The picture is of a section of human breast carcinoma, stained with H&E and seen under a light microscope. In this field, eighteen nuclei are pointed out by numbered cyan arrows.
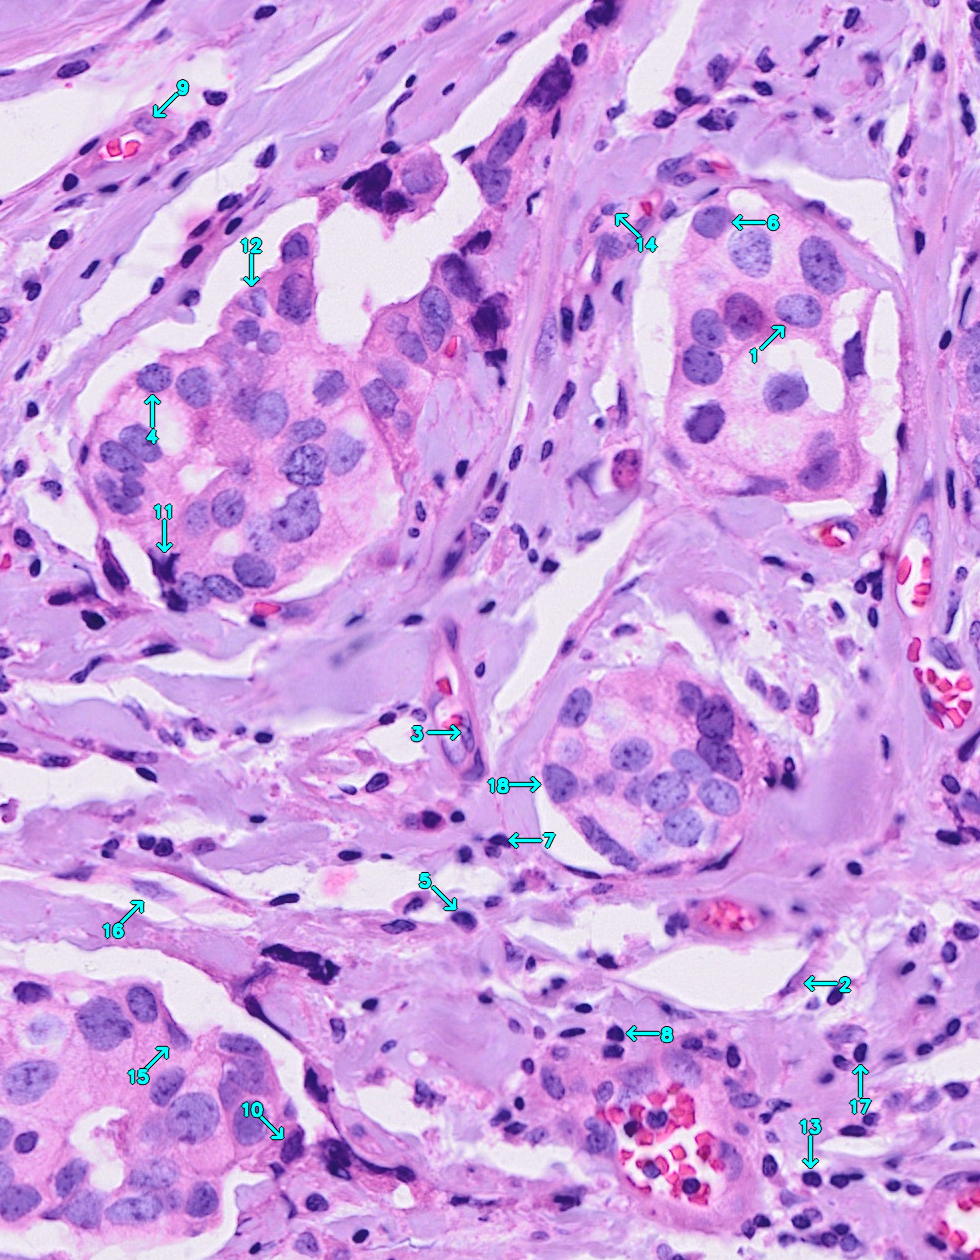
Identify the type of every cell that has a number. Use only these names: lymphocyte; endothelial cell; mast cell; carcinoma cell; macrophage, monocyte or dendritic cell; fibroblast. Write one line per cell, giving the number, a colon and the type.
1: carcinoma cell
2: fibroblast
3: endothelial cell
4: carcinoma cell
5: lymphocyte
6: carcinoma cell
7: lymphocyte
8: lymphocyte
9: endothelial cell
10: carcinoma cell
11: carcinoma cell
12: carcinoma cell
13: lymphocyte
14: endothelial cell
15: carcinoma cell
16: fibroblast
17: lymphocyte
18: carcinoma cell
